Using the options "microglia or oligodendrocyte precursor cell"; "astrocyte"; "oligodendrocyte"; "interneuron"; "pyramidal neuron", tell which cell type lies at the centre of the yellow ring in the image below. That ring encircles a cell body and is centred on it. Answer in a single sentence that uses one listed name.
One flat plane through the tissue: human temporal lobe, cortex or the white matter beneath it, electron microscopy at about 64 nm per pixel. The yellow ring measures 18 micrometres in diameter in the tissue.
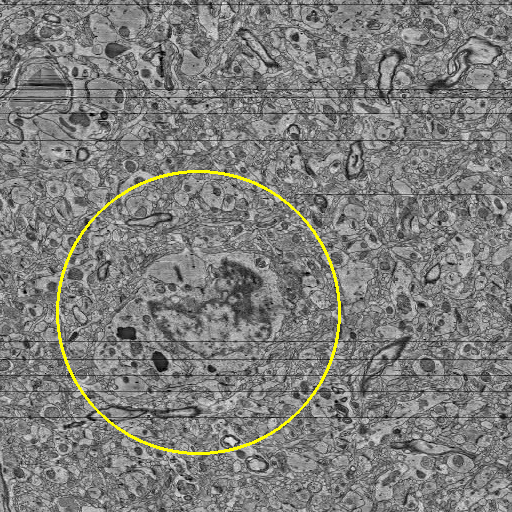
At the centre of the yellow ring lies the body of an interneuron.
